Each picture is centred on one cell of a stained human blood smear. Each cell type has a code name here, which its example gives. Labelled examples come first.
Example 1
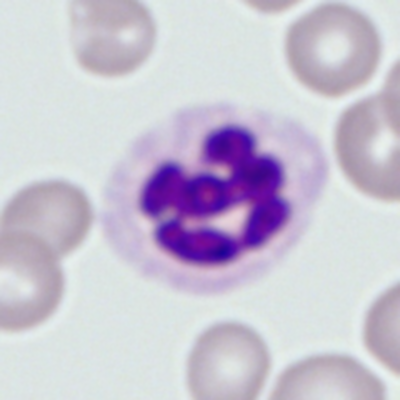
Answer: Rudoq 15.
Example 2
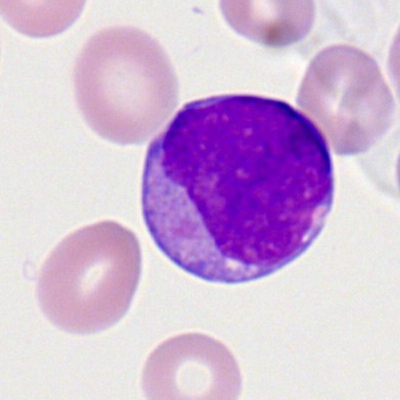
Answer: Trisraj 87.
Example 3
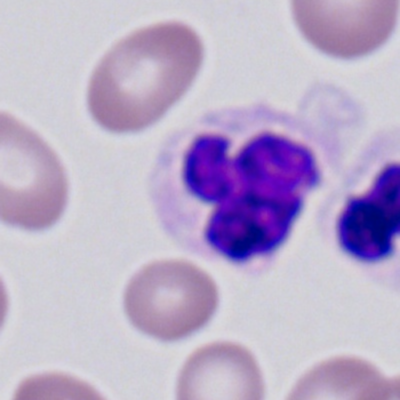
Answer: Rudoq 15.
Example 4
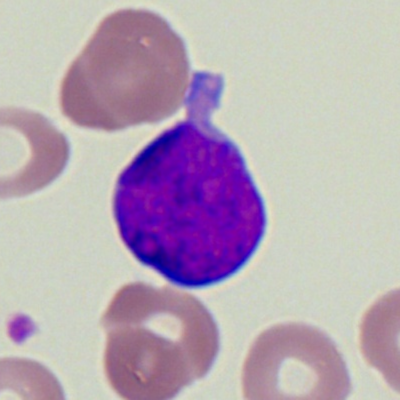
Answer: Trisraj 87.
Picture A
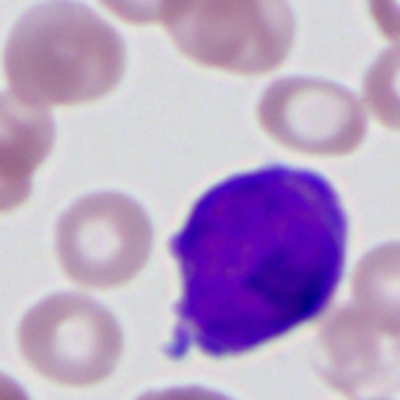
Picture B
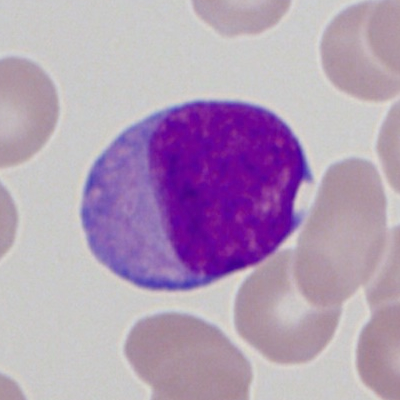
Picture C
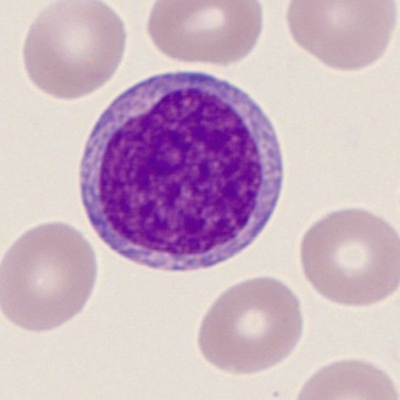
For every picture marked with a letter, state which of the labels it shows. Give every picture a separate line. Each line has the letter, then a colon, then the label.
A: Trisraj 87.
B: Trisraj 87.
C: Trisraj 87.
